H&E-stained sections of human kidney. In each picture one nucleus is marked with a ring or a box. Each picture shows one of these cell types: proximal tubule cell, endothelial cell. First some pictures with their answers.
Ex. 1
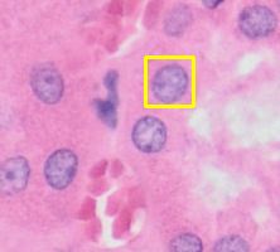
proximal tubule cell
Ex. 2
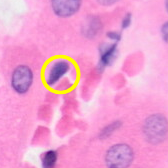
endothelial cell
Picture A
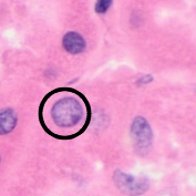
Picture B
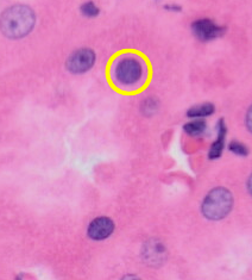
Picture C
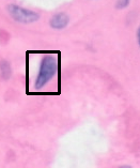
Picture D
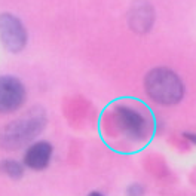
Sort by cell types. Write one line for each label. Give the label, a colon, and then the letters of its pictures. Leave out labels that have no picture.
proximal tubule cell: A, B
endothelial cell: C, D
